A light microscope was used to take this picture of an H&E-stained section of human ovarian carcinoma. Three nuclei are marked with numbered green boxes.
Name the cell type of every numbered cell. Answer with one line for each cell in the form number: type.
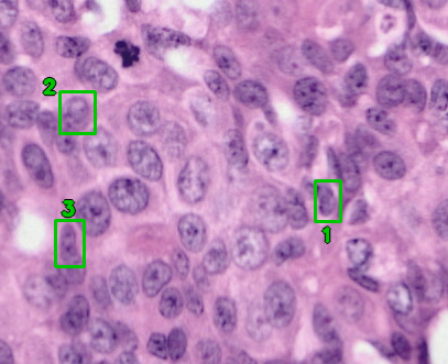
1: macrophage or monocyte
2: carcinoma cell
3: carcinoma cell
